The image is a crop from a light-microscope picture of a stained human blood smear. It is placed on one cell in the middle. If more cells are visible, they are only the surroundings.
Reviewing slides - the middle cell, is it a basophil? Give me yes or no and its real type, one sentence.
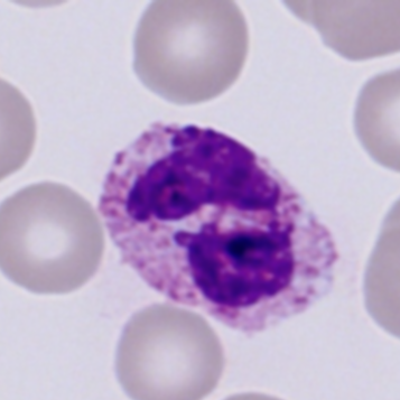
Yes, the cell in the central position is a basophil.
